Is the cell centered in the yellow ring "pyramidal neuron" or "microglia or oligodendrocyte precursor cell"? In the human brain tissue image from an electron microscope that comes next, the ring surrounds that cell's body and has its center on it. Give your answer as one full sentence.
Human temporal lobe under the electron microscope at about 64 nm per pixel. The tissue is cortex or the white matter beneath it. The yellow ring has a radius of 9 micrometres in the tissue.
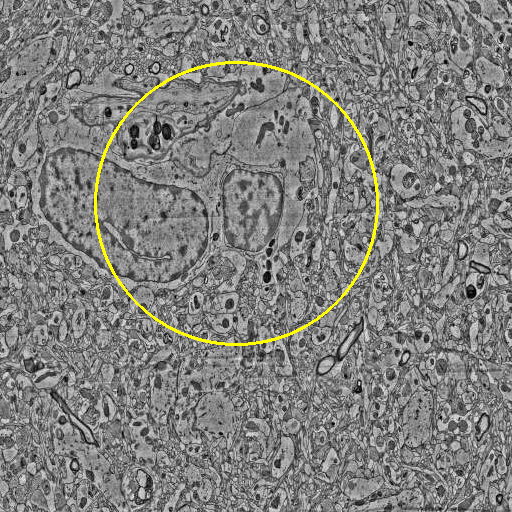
The cell at the center of the yellow ring is a microglial cell or oligodendrocyte precursor cell in the micrograph.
